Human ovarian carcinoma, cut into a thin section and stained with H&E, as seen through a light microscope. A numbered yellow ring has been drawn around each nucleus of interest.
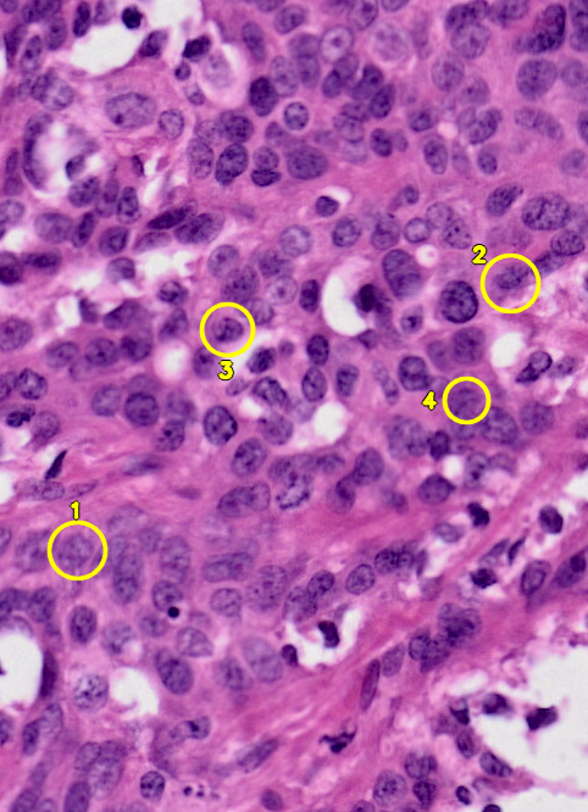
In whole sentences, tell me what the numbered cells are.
Cell 1 is a carcinoma cell, cell 2 is a carcinoma cell, cell 3 is a macrophage or monocyte and cell 4 is a carcinoma cell.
